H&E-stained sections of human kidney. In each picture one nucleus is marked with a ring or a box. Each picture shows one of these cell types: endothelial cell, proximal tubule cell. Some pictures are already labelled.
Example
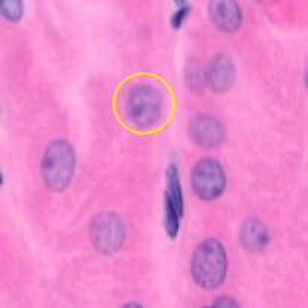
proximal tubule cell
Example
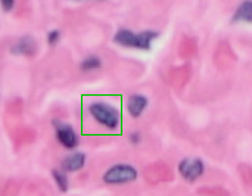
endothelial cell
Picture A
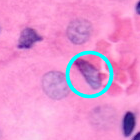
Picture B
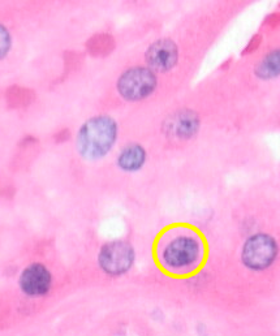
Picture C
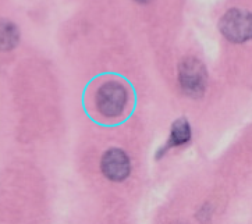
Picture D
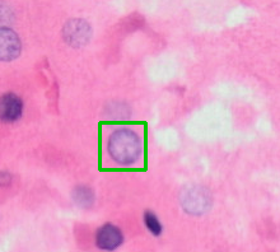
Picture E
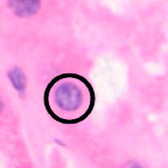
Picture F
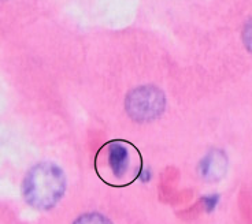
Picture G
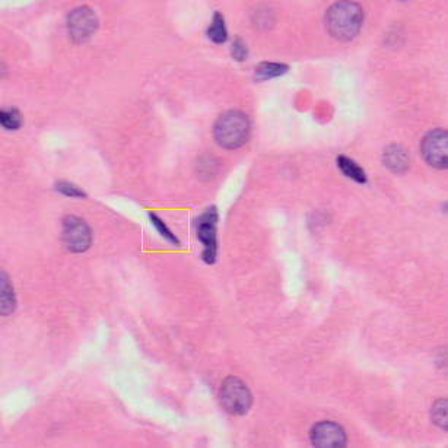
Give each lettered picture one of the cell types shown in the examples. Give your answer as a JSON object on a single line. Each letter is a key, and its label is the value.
{"A": "endothelial cell", "B": "proximal tubule cell", "C": "proximal tubule cell", "D": "proximal tubule cell", "E": "proximal tubule cell", "F": "endothelial cell", "G": "endothelial cell"}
